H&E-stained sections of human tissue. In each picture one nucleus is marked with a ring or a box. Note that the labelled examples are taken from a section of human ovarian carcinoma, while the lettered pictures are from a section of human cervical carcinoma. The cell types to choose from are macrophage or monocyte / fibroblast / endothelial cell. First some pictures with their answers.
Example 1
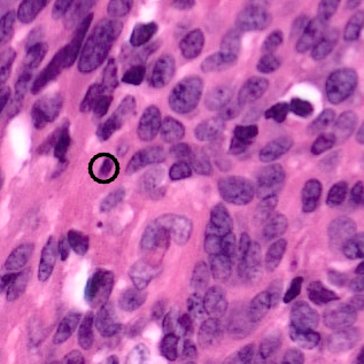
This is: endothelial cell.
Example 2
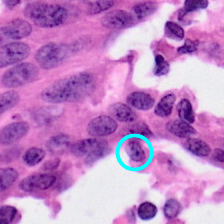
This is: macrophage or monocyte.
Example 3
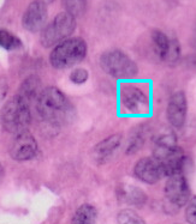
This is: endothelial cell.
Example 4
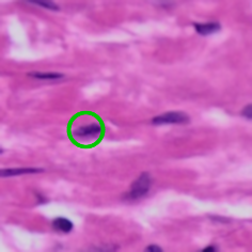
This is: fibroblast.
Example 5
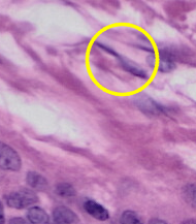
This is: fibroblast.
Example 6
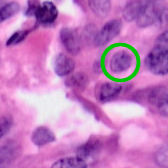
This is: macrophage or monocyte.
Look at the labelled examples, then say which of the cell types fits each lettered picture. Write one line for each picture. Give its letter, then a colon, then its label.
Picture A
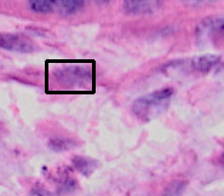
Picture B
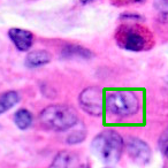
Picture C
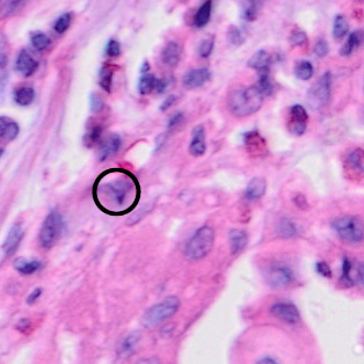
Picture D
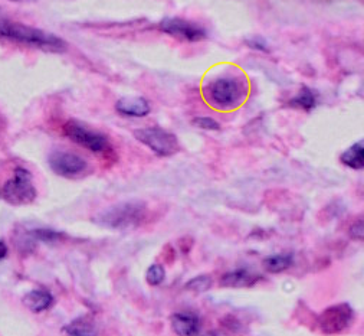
A: fibroblast.
B: endothelial cell.
C: endothelial cell.
D: macrophage or monocyte.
